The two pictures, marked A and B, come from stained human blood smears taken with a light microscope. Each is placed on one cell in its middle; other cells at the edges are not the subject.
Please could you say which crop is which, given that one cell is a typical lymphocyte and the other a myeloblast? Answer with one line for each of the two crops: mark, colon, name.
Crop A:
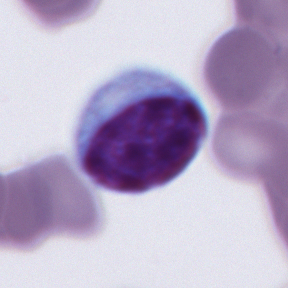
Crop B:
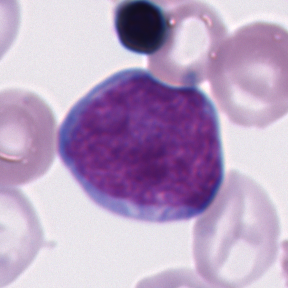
A: typical lymphocyte
B: myeloblast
